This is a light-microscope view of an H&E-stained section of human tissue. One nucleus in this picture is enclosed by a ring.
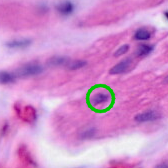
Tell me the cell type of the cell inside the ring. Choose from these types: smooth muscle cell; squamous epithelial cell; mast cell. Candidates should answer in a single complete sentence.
In cellular terms, the cell inside the ring is a smooth muscle cell.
